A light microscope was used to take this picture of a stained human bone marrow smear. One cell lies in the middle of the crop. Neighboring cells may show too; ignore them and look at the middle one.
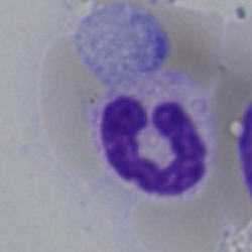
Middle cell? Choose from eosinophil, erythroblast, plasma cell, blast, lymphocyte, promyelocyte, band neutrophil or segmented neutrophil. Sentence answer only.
In the middle of this smear crop, the cell is a band neutrophil.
